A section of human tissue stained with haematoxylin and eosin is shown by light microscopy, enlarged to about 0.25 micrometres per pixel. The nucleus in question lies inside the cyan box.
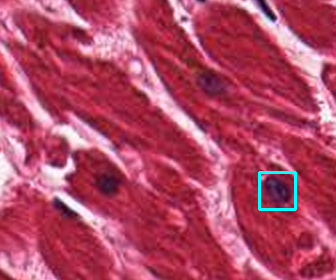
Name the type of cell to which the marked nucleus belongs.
cardiomyocyte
